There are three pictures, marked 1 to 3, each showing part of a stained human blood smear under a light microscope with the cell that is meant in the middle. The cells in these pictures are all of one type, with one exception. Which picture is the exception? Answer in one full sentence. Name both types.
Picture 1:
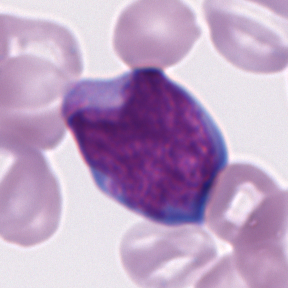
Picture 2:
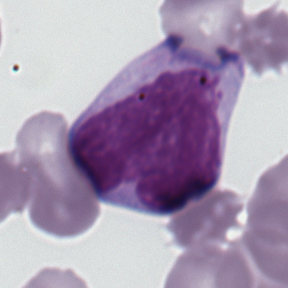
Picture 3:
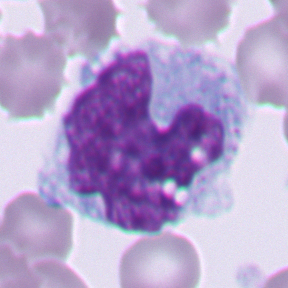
All pictures except 3 show myeloblasts; picture 3 shows a monocyte.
